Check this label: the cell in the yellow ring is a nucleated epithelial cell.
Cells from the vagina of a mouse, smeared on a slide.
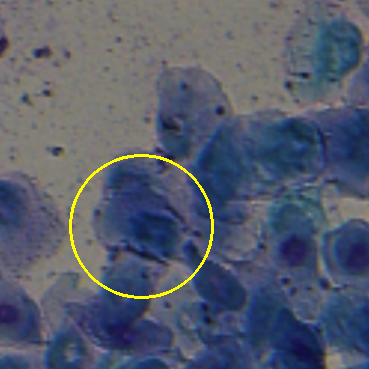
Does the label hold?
The label does not hold; the cell is a cornified epithelial cell.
